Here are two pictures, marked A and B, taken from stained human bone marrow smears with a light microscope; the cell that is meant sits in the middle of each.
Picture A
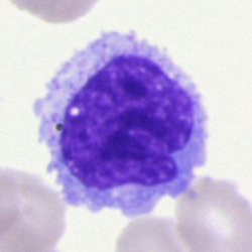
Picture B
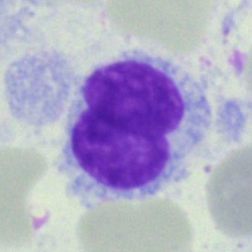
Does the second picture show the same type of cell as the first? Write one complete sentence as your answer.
No, picture A shows a monocyte and picture B shows a hairy cell.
